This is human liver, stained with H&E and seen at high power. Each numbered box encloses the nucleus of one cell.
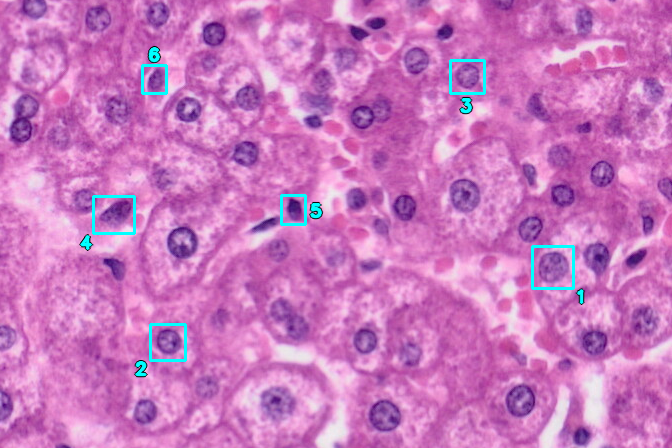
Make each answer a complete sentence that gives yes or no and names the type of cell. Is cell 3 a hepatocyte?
Yes, kindly take note: the cell numbered 3 is a hepatocyte.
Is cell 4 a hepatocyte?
No, the right label for cell 4 is a Kupffer cell rather than a hepatocyte.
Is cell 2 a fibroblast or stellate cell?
No, cell 2 is to be read as a hepatocyte, not a fibroblast or stellate cell.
